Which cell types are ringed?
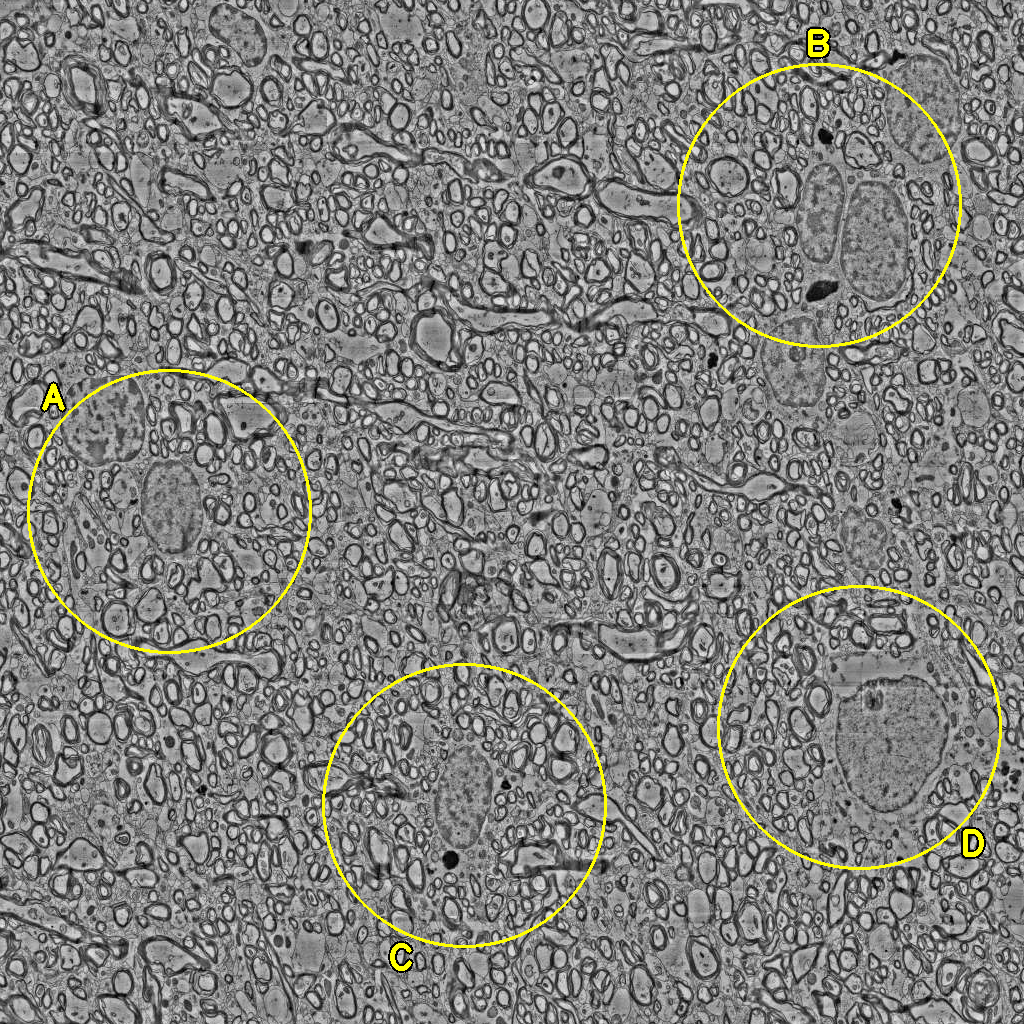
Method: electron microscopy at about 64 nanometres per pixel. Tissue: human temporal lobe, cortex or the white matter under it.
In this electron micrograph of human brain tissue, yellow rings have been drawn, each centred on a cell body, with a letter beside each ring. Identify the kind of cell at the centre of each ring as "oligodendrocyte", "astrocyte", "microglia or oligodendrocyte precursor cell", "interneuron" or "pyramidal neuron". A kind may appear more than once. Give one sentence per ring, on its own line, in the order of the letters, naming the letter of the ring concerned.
Ring A is drawn on an oligodendrocyte.
Ring B is drawn on an oligodendrocyte.
Ring C is drawn on an oligodendrocyte.
Ring D is drawn on an astrocyte.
